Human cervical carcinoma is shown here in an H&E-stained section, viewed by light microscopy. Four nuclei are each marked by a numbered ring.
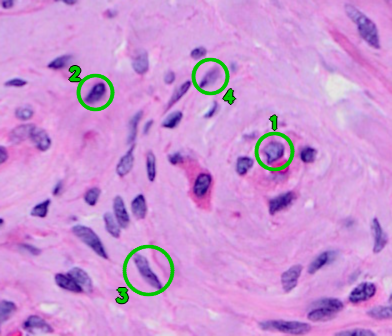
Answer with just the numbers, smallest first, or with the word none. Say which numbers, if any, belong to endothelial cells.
1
